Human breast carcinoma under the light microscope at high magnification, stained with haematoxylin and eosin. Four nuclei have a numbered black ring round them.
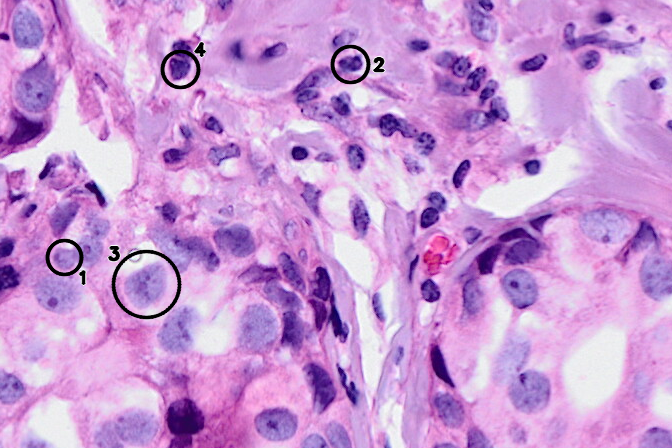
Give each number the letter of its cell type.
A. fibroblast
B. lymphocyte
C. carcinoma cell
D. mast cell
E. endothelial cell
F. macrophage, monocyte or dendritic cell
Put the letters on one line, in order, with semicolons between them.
C; B; C; B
